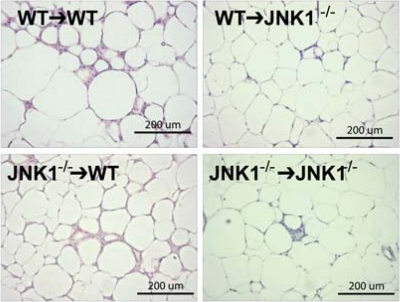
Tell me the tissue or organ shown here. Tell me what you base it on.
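Large, round to polygonal, empty-looking cells packed together. Thin pink-purple rims around each cell with only a few small nuclei.
Adipose tissue.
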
